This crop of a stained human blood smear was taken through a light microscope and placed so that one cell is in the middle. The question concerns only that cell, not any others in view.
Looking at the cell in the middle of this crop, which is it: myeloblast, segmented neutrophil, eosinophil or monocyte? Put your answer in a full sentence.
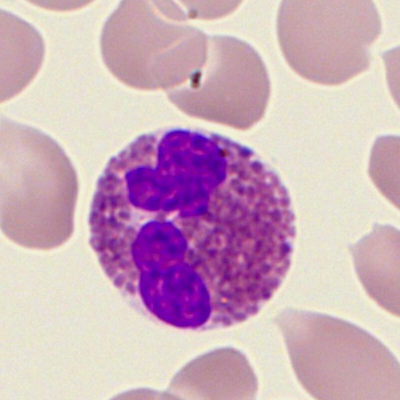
The cell in the middle of this crop is an eosinophil.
